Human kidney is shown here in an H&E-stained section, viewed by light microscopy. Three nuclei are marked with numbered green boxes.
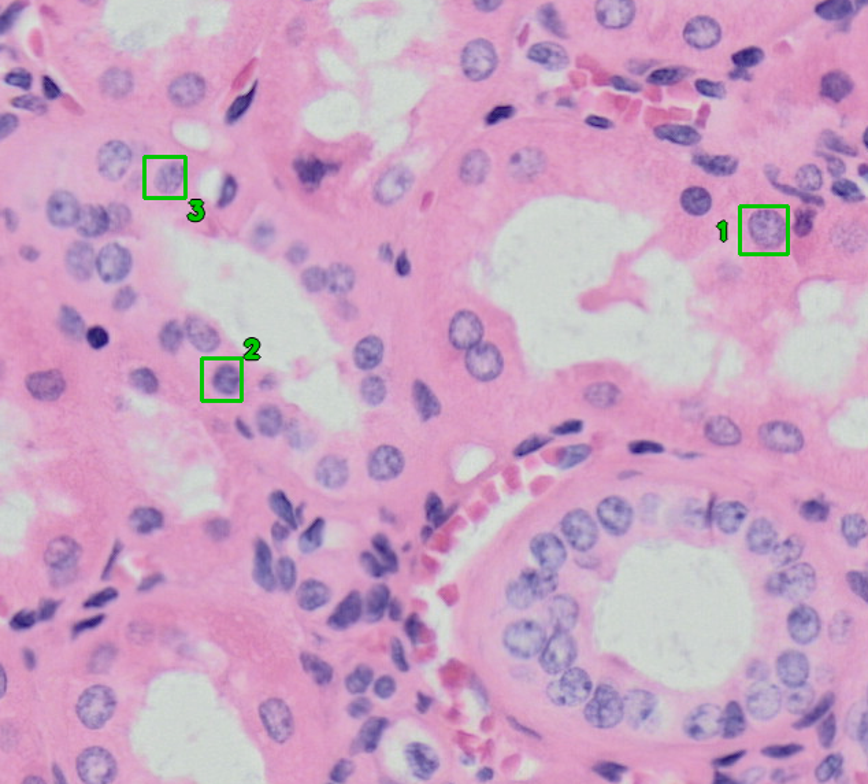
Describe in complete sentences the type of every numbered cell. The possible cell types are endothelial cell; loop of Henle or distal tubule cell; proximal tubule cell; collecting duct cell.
Cell 1 is a proximal tubule cell. Cells 2 and 3 are collecting duct cells.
